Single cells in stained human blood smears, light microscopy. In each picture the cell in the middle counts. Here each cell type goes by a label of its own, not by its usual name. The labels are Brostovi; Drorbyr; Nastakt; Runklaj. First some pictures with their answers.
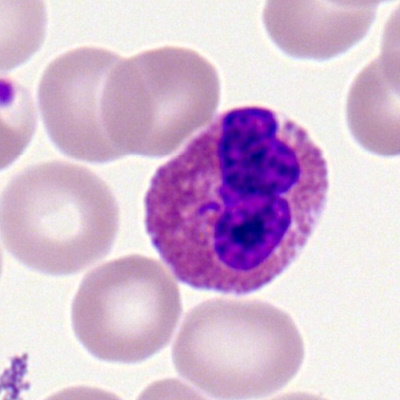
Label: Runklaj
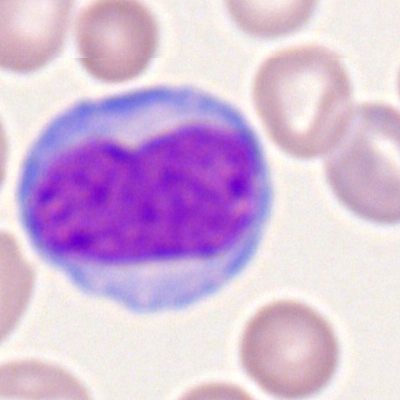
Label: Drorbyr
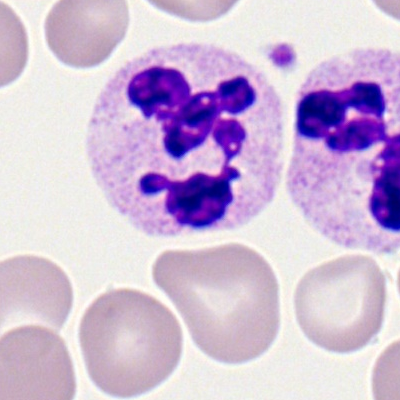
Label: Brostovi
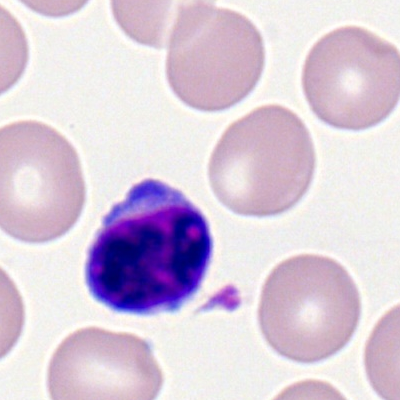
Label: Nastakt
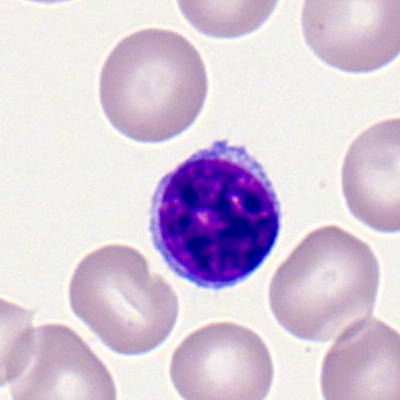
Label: Nastakt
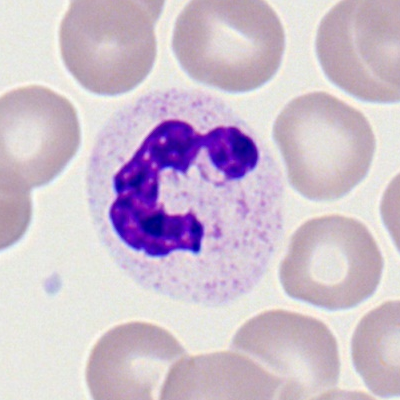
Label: Brostovi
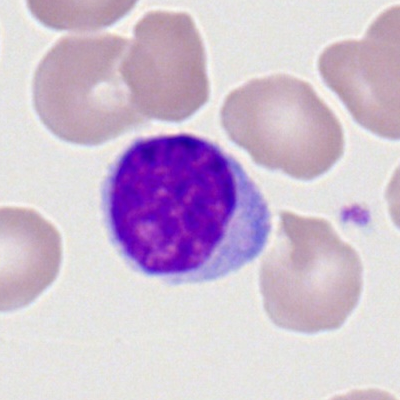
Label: Nastakt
